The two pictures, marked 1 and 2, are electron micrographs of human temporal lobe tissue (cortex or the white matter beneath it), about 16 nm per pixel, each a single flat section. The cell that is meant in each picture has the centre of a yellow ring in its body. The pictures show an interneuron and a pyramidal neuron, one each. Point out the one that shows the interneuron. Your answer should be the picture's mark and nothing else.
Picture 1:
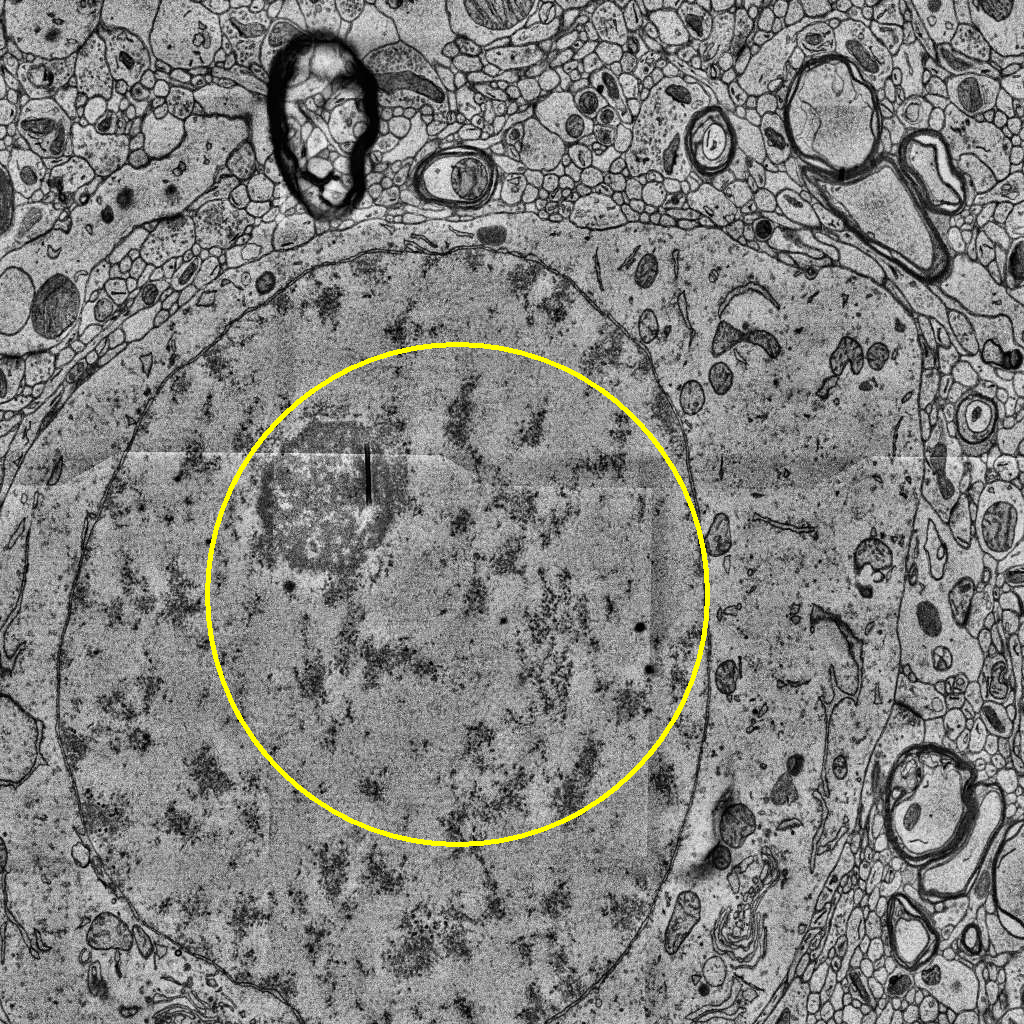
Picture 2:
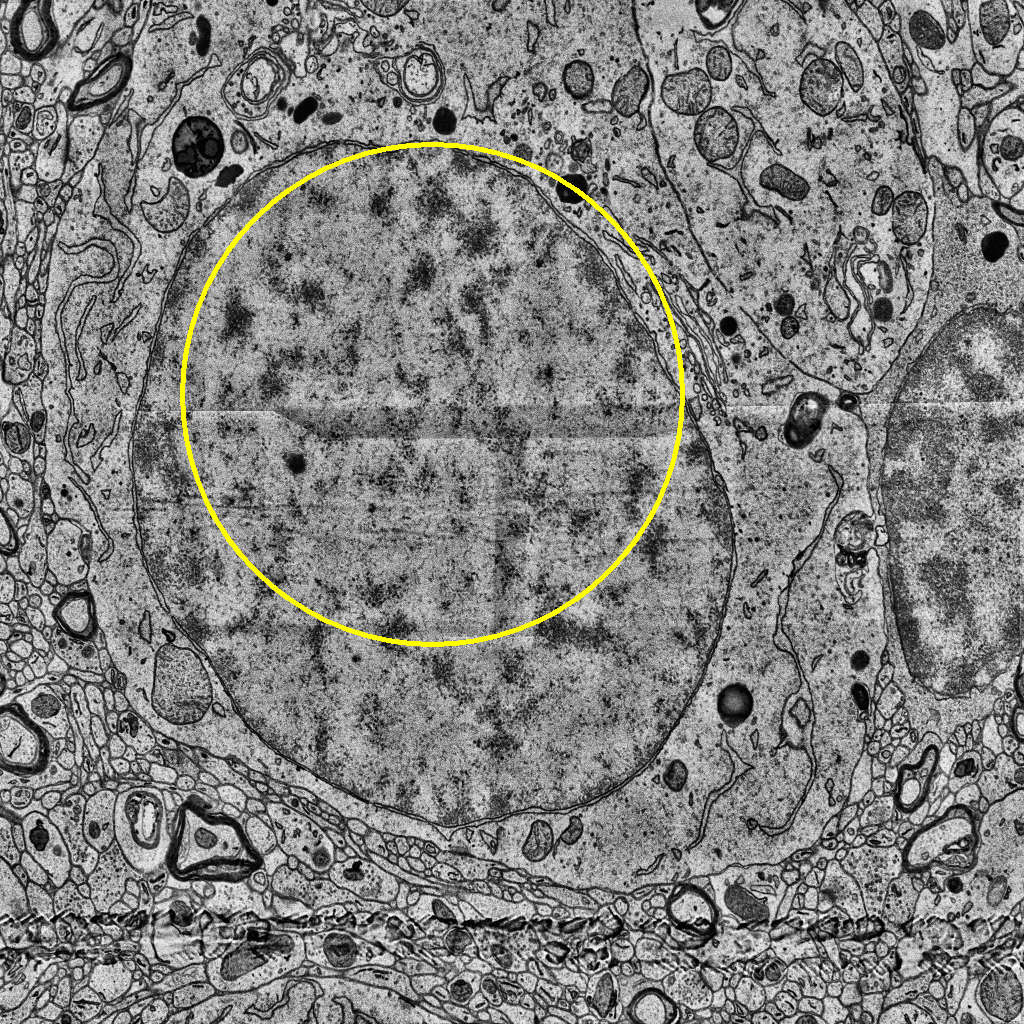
2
